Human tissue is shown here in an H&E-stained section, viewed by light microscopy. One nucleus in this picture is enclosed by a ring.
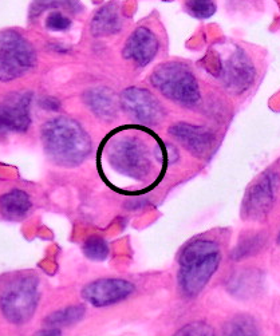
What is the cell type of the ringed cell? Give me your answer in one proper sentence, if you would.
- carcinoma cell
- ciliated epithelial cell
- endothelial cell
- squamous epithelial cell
What the ringed cell represents is a carcinoma cell.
